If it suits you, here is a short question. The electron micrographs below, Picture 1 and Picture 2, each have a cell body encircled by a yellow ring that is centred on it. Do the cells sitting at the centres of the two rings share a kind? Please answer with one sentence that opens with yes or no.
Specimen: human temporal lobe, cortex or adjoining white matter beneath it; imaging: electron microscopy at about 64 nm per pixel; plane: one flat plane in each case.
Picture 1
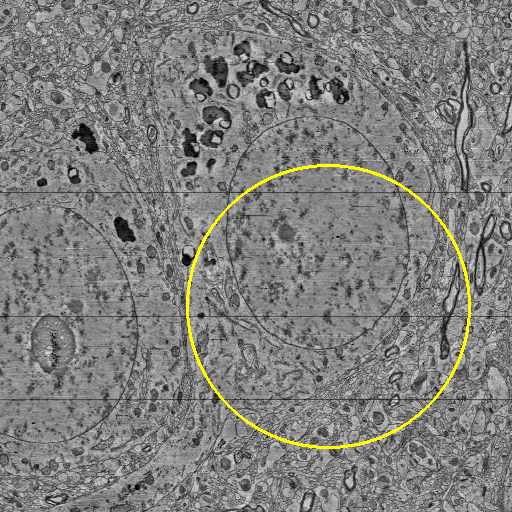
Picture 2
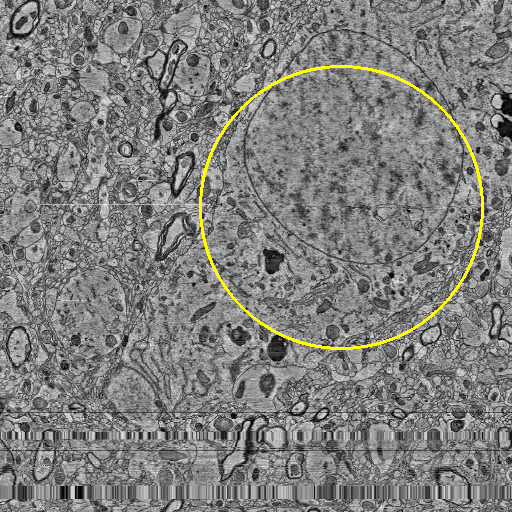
Yes, the two cells sitting at the ring centres share a single kind.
